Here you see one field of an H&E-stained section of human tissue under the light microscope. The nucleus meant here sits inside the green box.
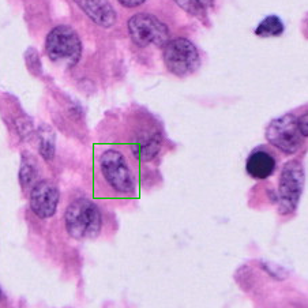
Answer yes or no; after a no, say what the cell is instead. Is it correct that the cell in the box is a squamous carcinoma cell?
No, it is a melanoma cell.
